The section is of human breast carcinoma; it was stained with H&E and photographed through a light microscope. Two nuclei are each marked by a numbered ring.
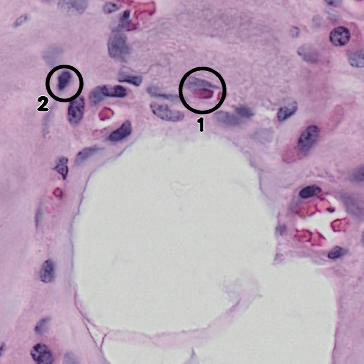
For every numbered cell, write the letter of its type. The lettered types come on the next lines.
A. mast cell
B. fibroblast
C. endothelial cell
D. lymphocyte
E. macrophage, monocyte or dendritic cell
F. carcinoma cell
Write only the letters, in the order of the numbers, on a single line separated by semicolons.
C; D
